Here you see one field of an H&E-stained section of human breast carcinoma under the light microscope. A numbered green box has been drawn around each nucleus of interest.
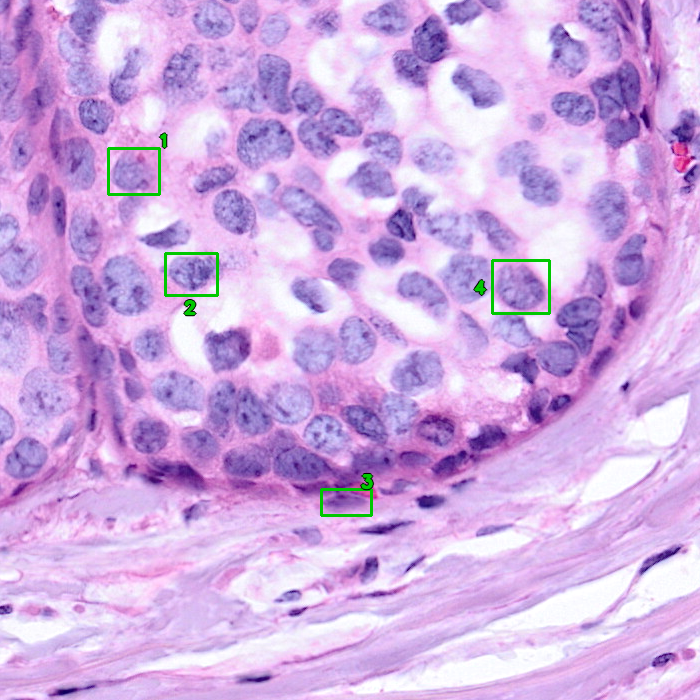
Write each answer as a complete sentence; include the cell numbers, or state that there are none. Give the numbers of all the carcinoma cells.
The numbers 1, 2 and 4 in this section indicate carcinoma cells.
